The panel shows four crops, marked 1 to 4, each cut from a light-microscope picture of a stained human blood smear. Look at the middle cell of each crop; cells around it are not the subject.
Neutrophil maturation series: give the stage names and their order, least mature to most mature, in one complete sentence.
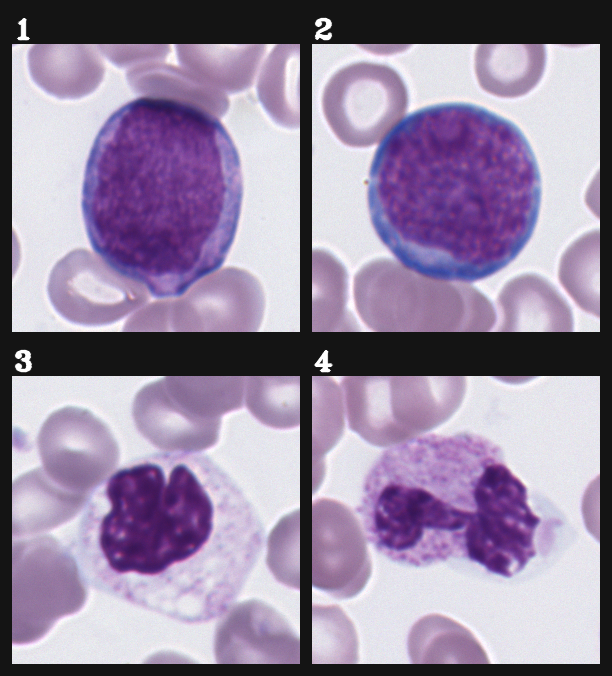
Across the crops, maturity increases in the order crop 2 (a myeloblast), crop 1 (a promyelocyte), crop 3 (a band neutrophil) and crop 4 (a segmented neutrophil).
